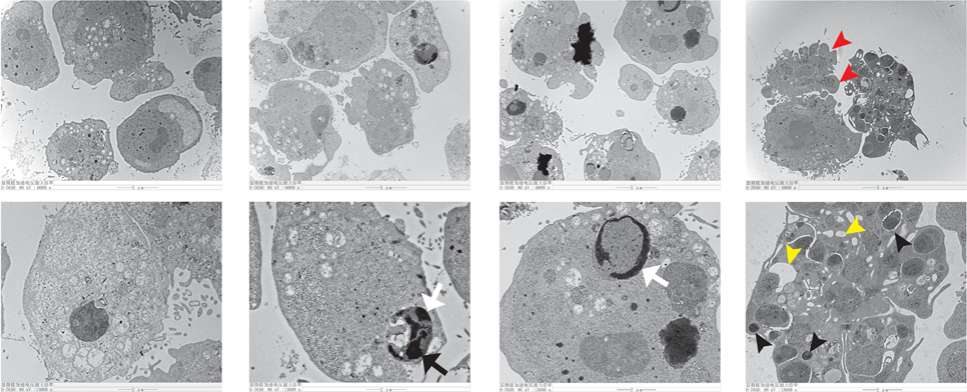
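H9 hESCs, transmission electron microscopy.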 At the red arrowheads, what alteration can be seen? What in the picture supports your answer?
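The red arrowheads point to a cell surface covered with many small rounded bulges. The cell outline is irregular and lobulated.
Answer: shrinkage and blebbing of the plasma membrane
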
